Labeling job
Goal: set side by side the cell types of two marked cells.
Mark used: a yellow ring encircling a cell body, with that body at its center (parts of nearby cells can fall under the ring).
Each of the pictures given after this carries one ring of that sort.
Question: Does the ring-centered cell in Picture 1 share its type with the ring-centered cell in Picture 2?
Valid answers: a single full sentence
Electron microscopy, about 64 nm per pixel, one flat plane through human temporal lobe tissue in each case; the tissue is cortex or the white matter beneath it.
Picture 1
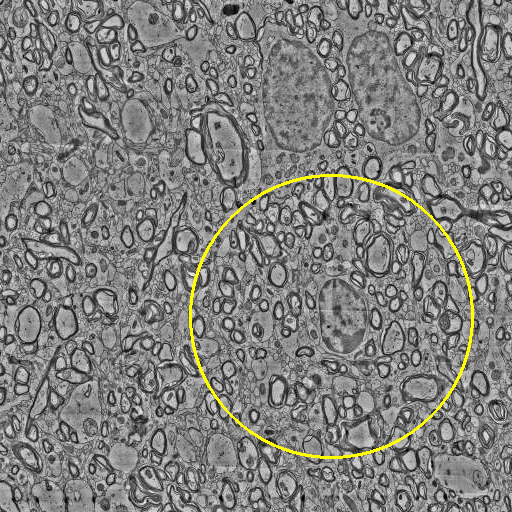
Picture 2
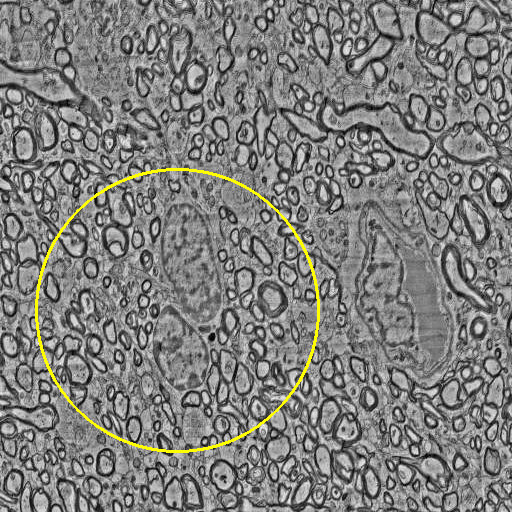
Yes, in Pictures 1 and 2 the cells at the ring centers share one type.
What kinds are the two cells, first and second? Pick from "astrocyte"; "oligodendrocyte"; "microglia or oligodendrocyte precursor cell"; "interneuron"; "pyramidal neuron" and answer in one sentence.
In each picture the ringed cell is a microglial cell or oligodendrocyte precursor cell.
